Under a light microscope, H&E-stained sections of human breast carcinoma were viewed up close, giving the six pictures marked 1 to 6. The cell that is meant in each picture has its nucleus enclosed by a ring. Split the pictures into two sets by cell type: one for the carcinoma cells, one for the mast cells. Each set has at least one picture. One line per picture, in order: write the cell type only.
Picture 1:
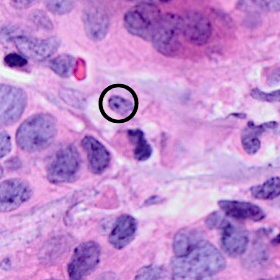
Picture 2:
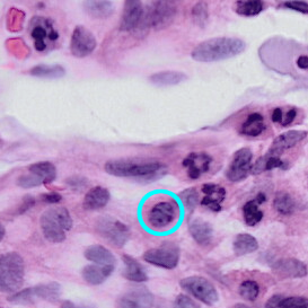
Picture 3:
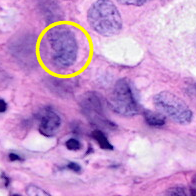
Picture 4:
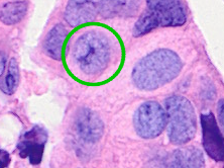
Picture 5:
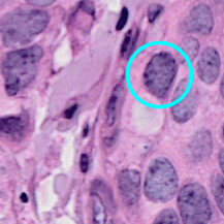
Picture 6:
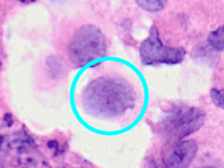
mast cell
mast cell
carcinoma cell
carcinoma cell
carcinoma cell
carcinoma cell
